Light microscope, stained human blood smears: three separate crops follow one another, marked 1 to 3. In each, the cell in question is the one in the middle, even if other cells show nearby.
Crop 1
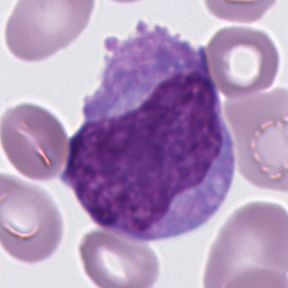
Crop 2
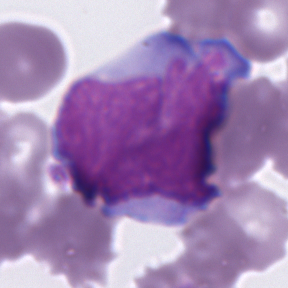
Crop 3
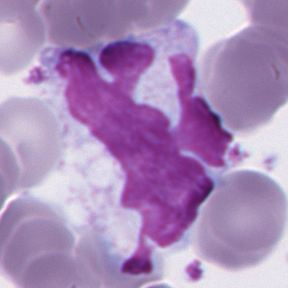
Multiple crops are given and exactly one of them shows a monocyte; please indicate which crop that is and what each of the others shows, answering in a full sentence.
Crop 3 holds a monocyte at its centre, while crop 1 is an atypical promyelocyte and crop 2 is a myeloblast.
